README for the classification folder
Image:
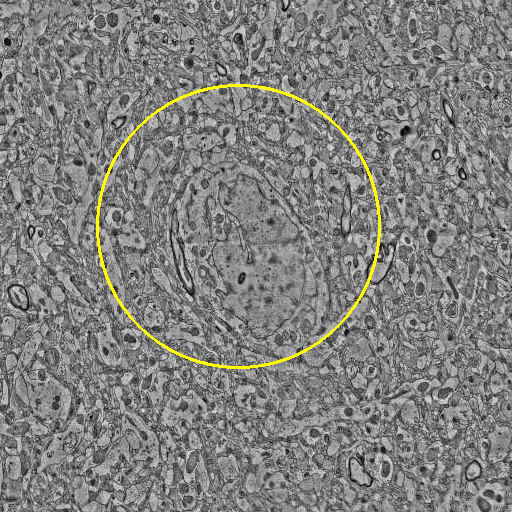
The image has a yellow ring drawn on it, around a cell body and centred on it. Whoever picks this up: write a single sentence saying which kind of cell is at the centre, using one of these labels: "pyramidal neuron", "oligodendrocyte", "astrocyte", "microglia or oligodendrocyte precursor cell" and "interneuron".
This cell body is that of an interneuron.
